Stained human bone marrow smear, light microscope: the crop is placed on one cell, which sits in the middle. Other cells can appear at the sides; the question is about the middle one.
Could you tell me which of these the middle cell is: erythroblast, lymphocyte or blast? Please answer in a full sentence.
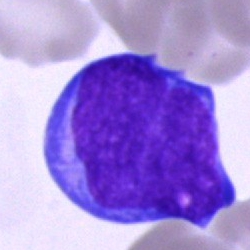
The middle of this crop holds a blast.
